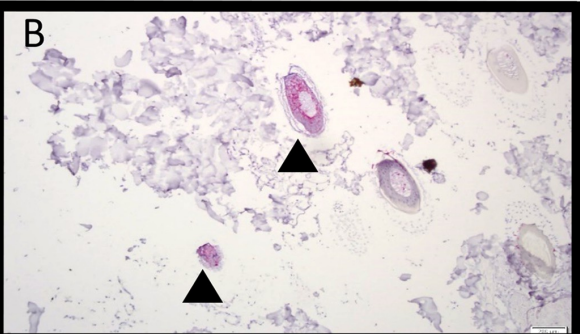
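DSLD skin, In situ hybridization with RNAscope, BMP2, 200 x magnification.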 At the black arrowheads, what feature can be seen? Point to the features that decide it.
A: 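Hair follicles. The upper arrowhead points to an oval cross-section with a concentric outer sheath around a central core. The marked structures carry pink-red staining.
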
